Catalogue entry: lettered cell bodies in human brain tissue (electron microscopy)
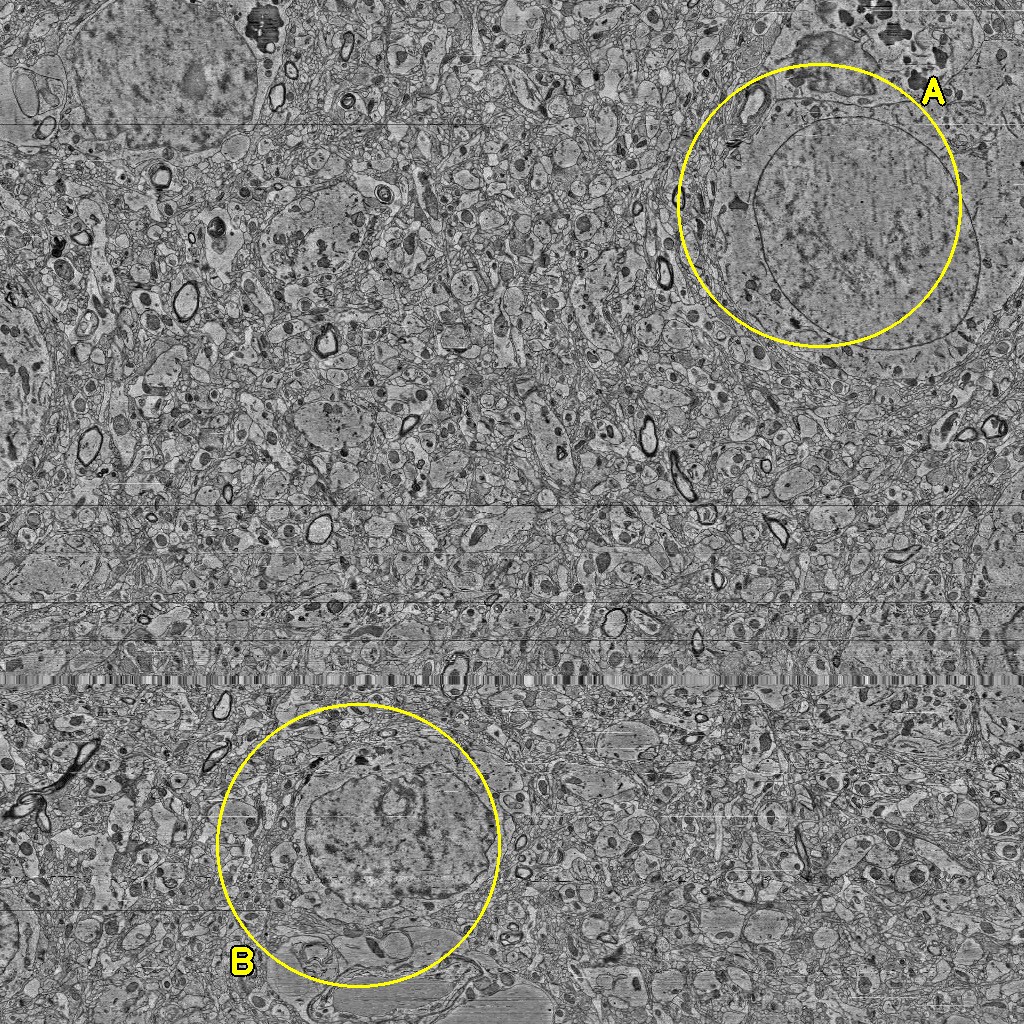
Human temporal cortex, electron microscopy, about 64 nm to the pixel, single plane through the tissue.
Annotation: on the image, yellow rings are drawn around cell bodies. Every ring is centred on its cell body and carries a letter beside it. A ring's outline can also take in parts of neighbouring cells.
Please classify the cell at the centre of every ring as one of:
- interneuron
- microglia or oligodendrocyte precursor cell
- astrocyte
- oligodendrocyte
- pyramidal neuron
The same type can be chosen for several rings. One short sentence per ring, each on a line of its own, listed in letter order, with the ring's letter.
Ring A is classified as a pyramidal neuron.
Ring B is classified as an interneuron.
